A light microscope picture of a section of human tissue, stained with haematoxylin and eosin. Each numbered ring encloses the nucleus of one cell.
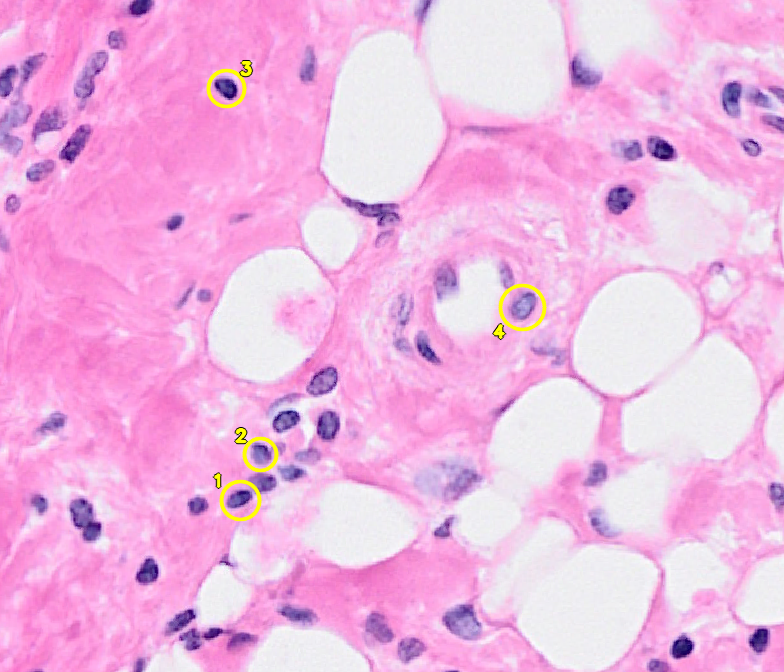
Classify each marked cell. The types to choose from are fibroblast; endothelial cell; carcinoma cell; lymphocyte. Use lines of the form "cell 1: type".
cell 1: lymphocyte
cell 2: lymphocyte
cell 3: lymphocyte
cell 4: endothelial cell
